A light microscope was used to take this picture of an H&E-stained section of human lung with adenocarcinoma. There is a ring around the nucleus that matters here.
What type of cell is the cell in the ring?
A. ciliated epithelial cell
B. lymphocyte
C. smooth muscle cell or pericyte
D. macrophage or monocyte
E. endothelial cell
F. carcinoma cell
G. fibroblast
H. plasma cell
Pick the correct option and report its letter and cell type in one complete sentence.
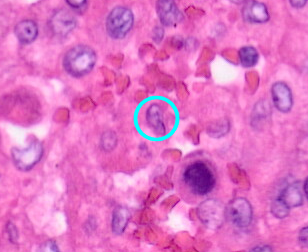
Option D stands as correct, with the cell in the ring being a macrophage or monocyte.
